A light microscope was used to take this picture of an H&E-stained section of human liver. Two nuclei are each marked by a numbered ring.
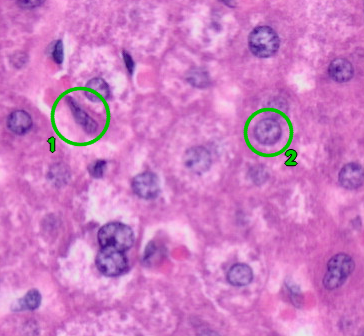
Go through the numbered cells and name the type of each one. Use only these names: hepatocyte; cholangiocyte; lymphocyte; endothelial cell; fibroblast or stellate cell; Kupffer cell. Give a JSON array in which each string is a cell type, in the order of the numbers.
["Kupffer cell", "hepatocyte"]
